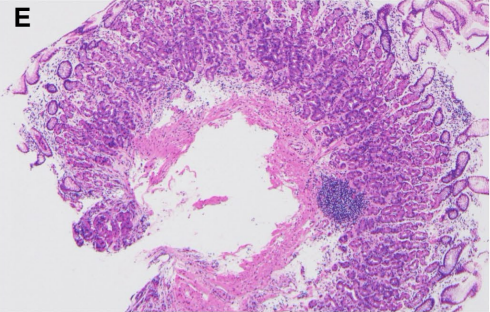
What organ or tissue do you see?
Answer: Gastric corpus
